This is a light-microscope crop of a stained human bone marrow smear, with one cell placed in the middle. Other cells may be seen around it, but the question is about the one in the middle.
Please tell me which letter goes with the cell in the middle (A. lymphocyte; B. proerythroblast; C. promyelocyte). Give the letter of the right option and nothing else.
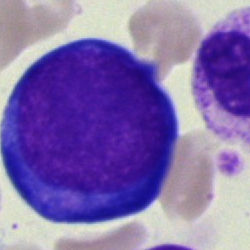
B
